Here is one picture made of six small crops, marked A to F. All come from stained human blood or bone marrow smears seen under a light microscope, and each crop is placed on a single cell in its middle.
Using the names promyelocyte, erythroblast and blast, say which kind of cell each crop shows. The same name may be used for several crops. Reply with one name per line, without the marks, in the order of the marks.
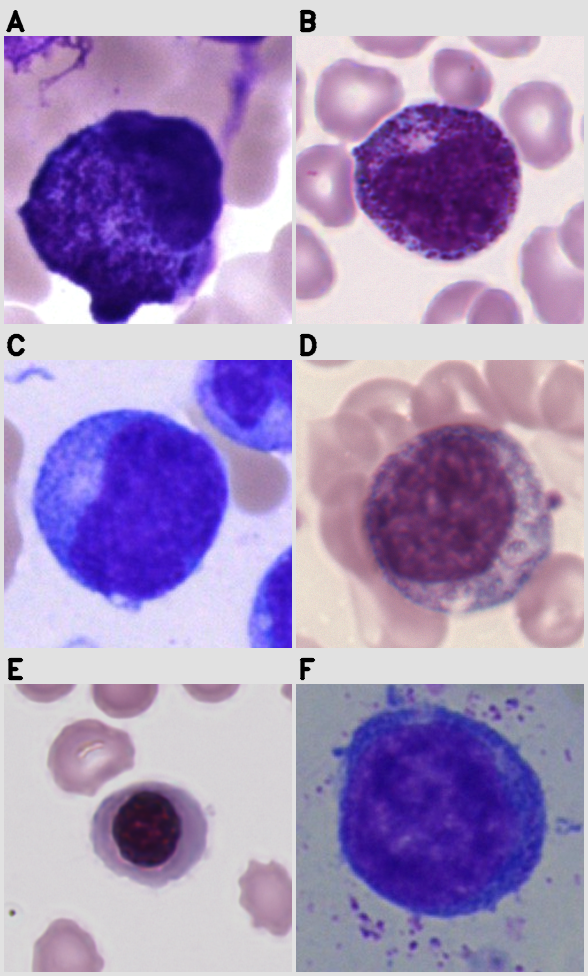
promyelocyte
promyelocyte
blast
promyelocyte
erythroblast
blast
